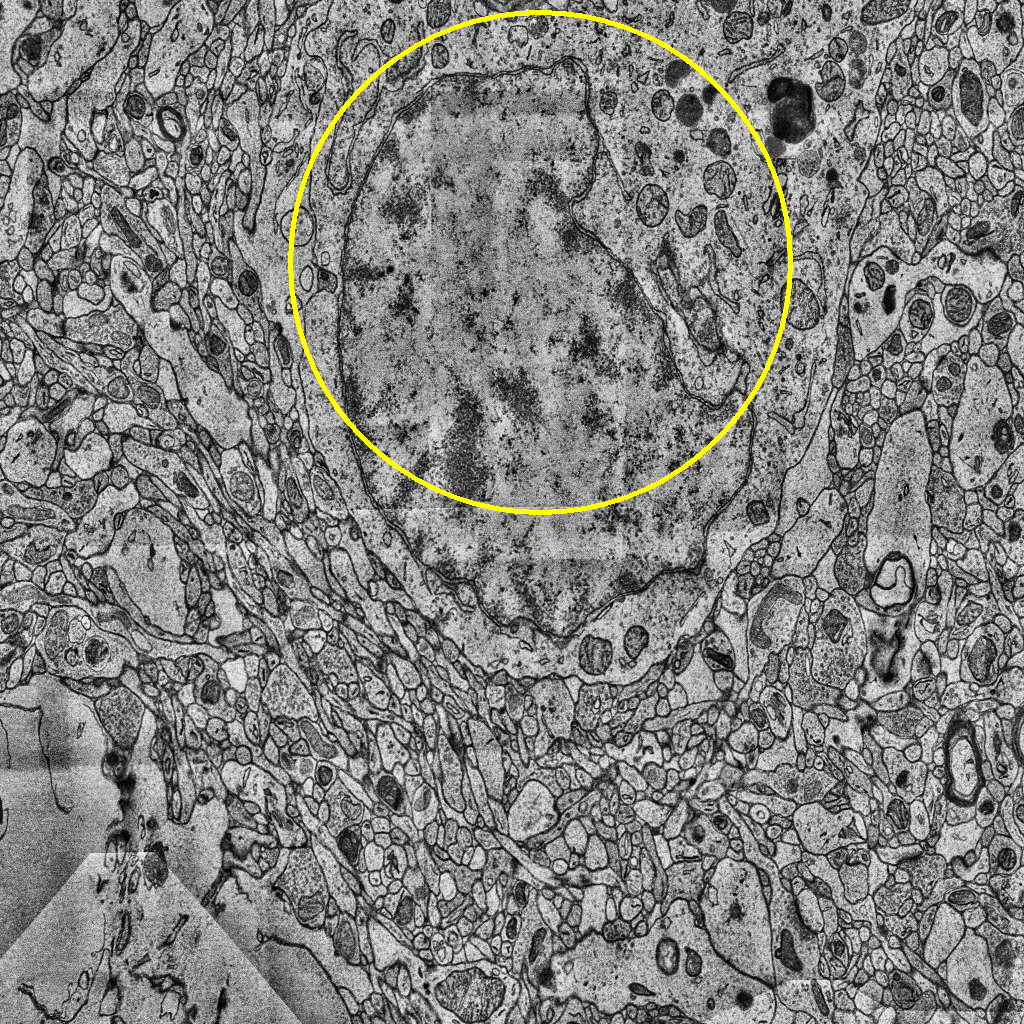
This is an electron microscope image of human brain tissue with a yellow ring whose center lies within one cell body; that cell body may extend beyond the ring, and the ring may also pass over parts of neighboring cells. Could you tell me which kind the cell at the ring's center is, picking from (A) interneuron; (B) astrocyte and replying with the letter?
A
